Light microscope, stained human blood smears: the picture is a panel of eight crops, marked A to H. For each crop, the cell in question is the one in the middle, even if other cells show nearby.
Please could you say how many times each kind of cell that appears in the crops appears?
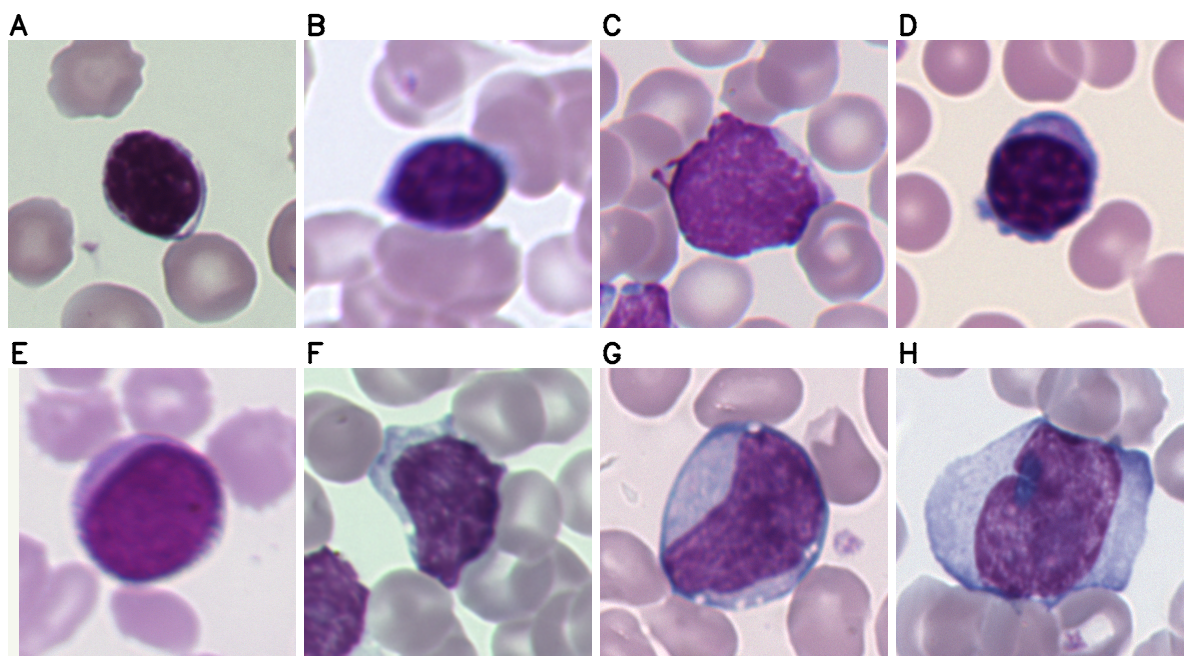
lymphocyte: 5
blast: 3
